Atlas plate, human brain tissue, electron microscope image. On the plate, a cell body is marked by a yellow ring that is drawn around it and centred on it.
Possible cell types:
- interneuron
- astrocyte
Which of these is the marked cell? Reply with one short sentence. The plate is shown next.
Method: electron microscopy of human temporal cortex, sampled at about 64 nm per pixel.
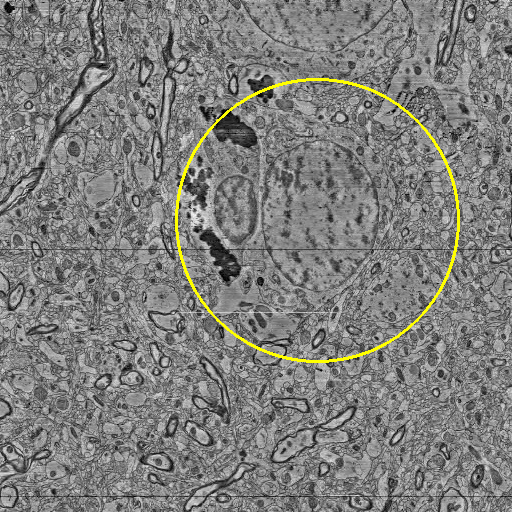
The marked cell is an interneuron.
